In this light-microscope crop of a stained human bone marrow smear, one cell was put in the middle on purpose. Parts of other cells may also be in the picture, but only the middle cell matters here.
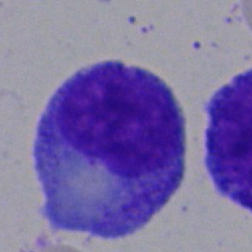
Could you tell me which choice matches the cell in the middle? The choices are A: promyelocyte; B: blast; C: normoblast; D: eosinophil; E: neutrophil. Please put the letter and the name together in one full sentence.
The central cell, a promyelocyte, is correctly identified by option A.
